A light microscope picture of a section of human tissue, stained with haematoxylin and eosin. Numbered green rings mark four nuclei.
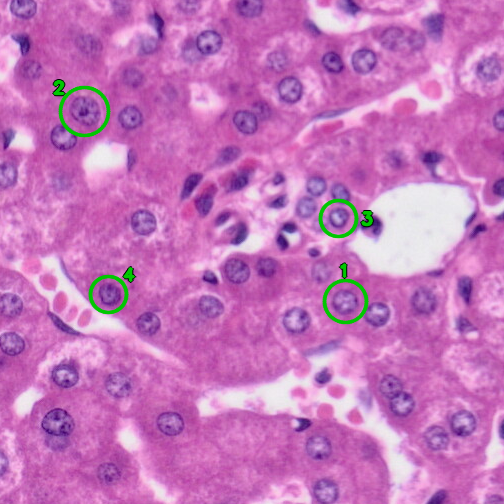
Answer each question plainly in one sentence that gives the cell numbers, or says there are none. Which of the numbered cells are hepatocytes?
The cells identified by the numbers 1, 2 and 4 are hepatocytes.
